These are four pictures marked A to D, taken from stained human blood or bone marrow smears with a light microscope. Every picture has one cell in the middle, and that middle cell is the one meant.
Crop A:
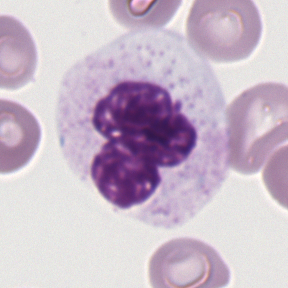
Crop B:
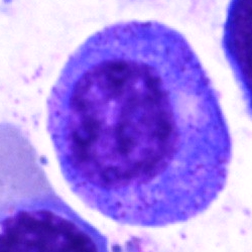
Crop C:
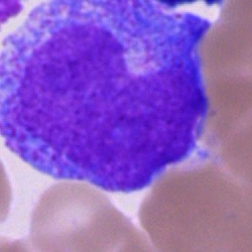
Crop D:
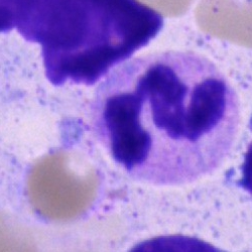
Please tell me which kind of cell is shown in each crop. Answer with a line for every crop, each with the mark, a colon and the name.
A: segmented neutrophil
B: promyelocyte
C: promyelocyte
D: segmented neutrophil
